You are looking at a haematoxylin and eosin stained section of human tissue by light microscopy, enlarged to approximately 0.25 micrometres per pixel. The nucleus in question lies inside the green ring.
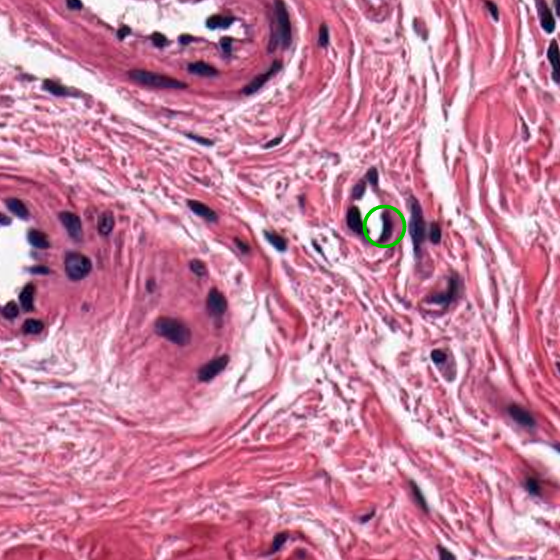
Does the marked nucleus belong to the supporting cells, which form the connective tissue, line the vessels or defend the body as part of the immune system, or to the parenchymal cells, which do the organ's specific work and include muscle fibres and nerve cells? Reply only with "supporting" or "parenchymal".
supporting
